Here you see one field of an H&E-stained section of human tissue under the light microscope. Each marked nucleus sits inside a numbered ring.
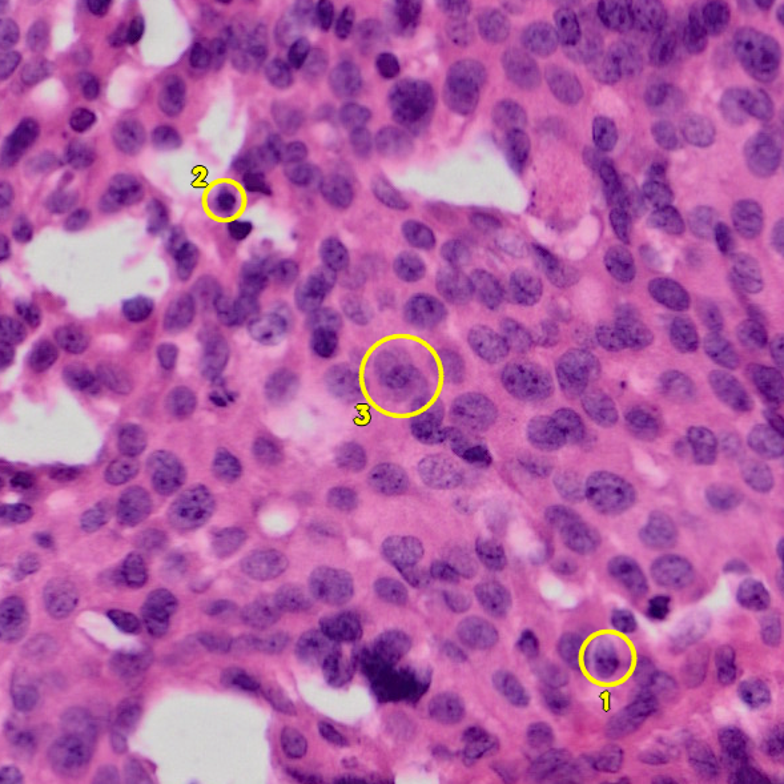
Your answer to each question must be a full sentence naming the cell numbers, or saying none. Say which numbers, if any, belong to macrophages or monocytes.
The cells tagged with numbers 1 and 2 are macrophages or monocytes.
